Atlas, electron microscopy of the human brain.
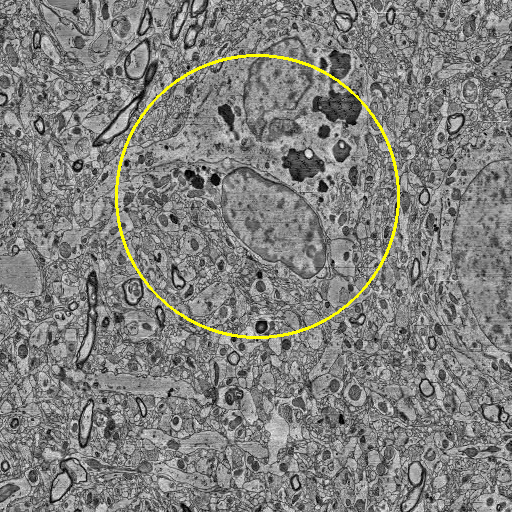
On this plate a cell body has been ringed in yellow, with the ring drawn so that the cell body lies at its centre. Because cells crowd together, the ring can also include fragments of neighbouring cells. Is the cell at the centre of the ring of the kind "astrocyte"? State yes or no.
No, it is of another kind.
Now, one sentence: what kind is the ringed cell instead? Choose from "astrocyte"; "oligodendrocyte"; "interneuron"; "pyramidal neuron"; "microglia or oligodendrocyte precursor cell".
The correct answer is that the cell is a microglial cell or oligodendrocyte precursor cell.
